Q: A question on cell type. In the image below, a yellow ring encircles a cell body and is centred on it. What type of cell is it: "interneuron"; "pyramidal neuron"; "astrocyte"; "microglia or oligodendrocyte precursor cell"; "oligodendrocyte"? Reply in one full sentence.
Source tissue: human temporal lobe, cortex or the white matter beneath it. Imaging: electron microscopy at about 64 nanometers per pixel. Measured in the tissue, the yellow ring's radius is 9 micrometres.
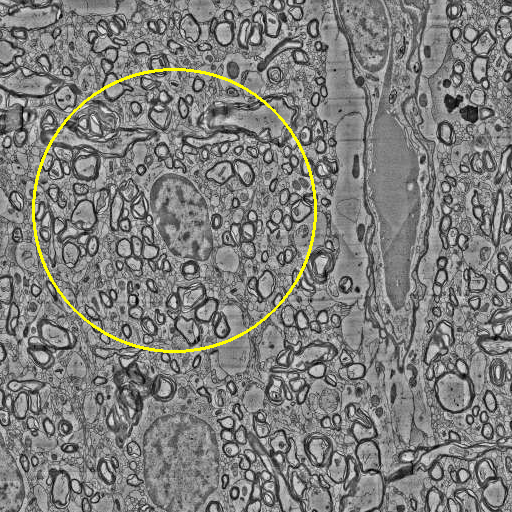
It is a microglial cell or oligodendrocyte precursor cell whose cell body sits at the centre of the yellow ring in the image.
